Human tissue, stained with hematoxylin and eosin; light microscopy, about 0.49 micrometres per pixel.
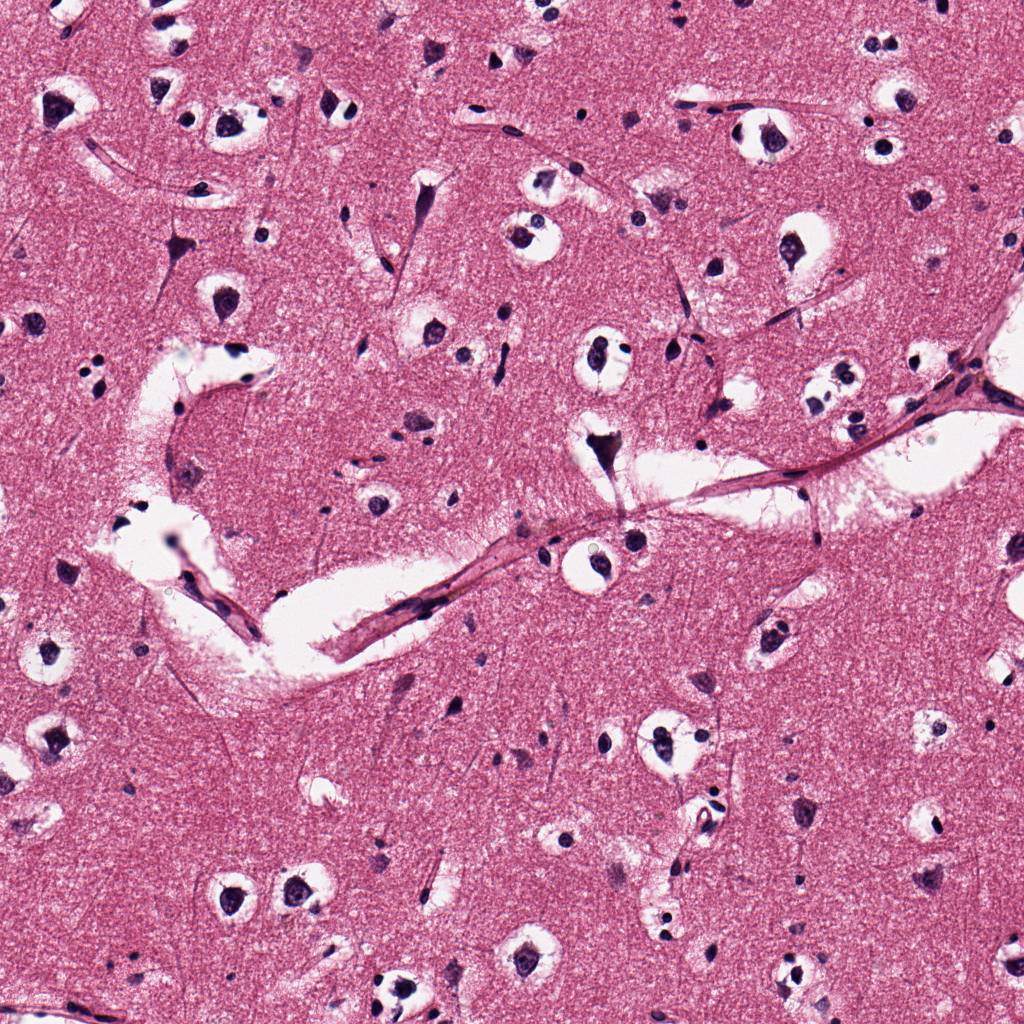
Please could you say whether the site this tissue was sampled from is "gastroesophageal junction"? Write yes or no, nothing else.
no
